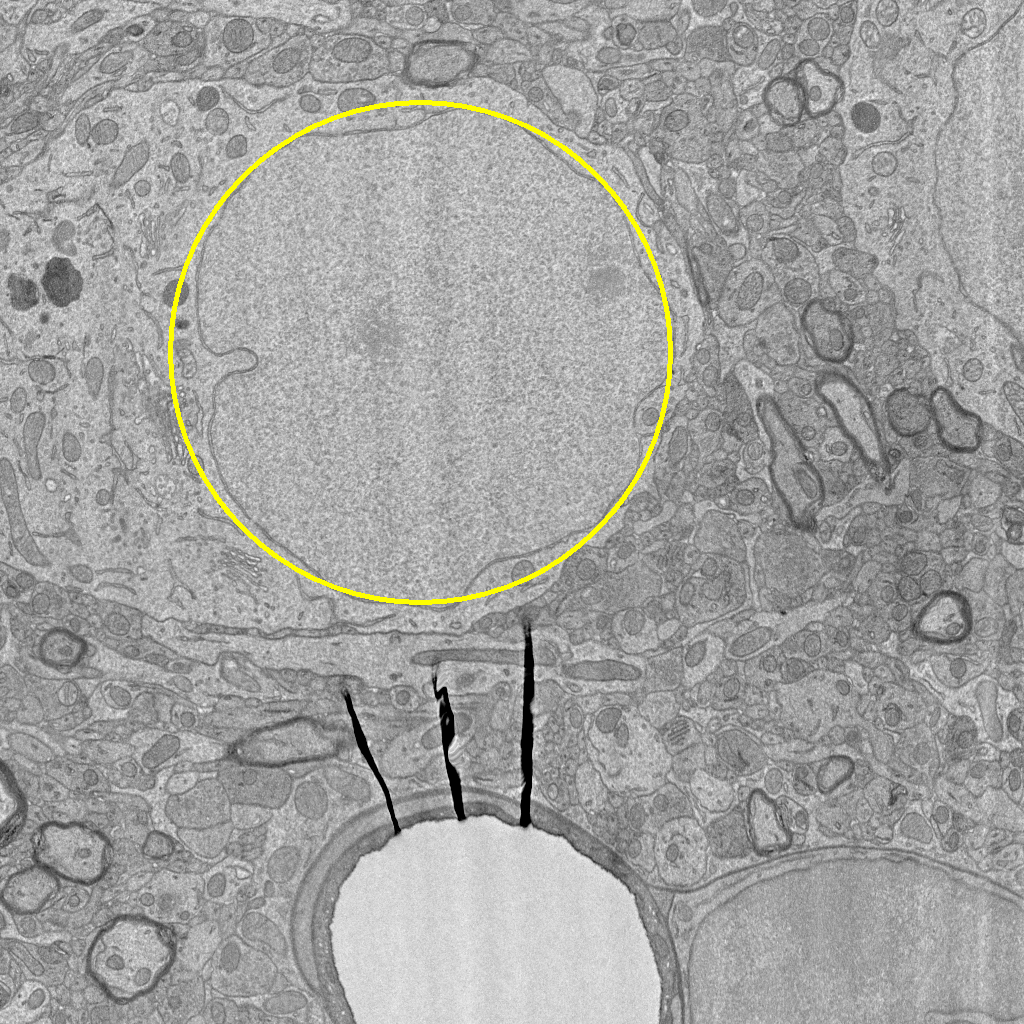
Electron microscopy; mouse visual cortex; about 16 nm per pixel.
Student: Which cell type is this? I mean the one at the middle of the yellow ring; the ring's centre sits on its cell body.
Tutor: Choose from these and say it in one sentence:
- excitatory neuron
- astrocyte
The cell at the ring's centre is an excitatory neuron.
